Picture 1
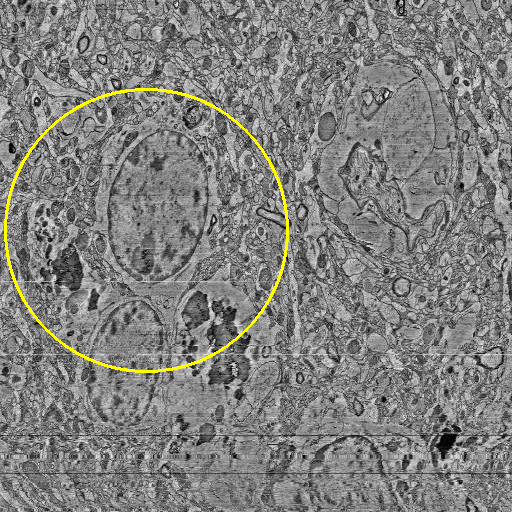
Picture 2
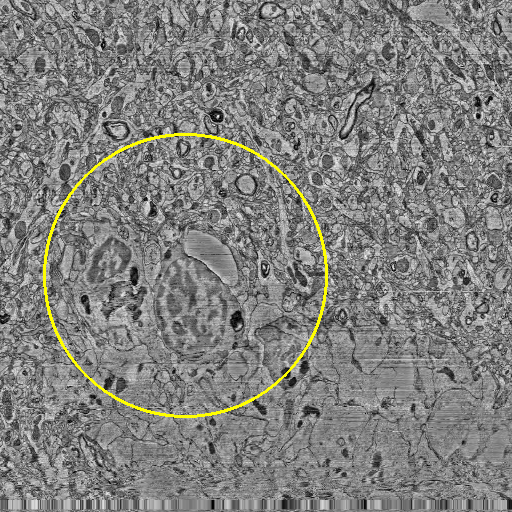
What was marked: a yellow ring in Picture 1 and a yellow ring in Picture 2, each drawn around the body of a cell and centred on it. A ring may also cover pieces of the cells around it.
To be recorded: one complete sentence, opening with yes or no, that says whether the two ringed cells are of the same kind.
No, the two ringed cells are of two kinds.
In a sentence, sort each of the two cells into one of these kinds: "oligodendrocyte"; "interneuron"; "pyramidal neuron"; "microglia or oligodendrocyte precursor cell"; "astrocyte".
The first of the two cells is an astrocyte, and the second is an oligodendrocyte.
